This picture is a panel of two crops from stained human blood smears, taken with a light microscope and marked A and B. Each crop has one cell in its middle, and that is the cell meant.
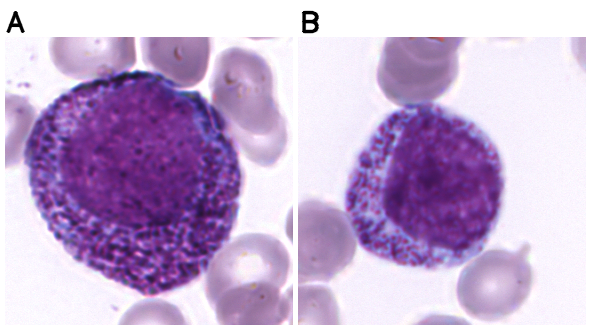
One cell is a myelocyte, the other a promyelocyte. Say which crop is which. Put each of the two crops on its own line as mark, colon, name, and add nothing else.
A: promyelocyte
B: myelocyte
